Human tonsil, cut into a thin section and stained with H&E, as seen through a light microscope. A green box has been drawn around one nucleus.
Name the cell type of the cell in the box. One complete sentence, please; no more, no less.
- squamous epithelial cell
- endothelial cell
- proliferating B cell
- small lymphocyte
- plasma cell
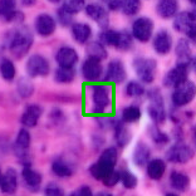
With respect to cell type, the cell in the box is a small lymphocyte.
